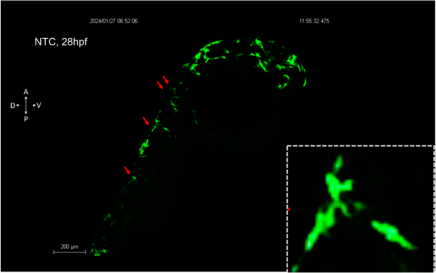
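Many are drawn out into elongated, spindle-like shapes with tapering ends, and several lie roughly aligned along the arc, as cells on the move would be. The enlarged inset shows a few such cells with long, irregular bodies and short extensions. No nuclei are distinguishable; only the filled cell outlines glow.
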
